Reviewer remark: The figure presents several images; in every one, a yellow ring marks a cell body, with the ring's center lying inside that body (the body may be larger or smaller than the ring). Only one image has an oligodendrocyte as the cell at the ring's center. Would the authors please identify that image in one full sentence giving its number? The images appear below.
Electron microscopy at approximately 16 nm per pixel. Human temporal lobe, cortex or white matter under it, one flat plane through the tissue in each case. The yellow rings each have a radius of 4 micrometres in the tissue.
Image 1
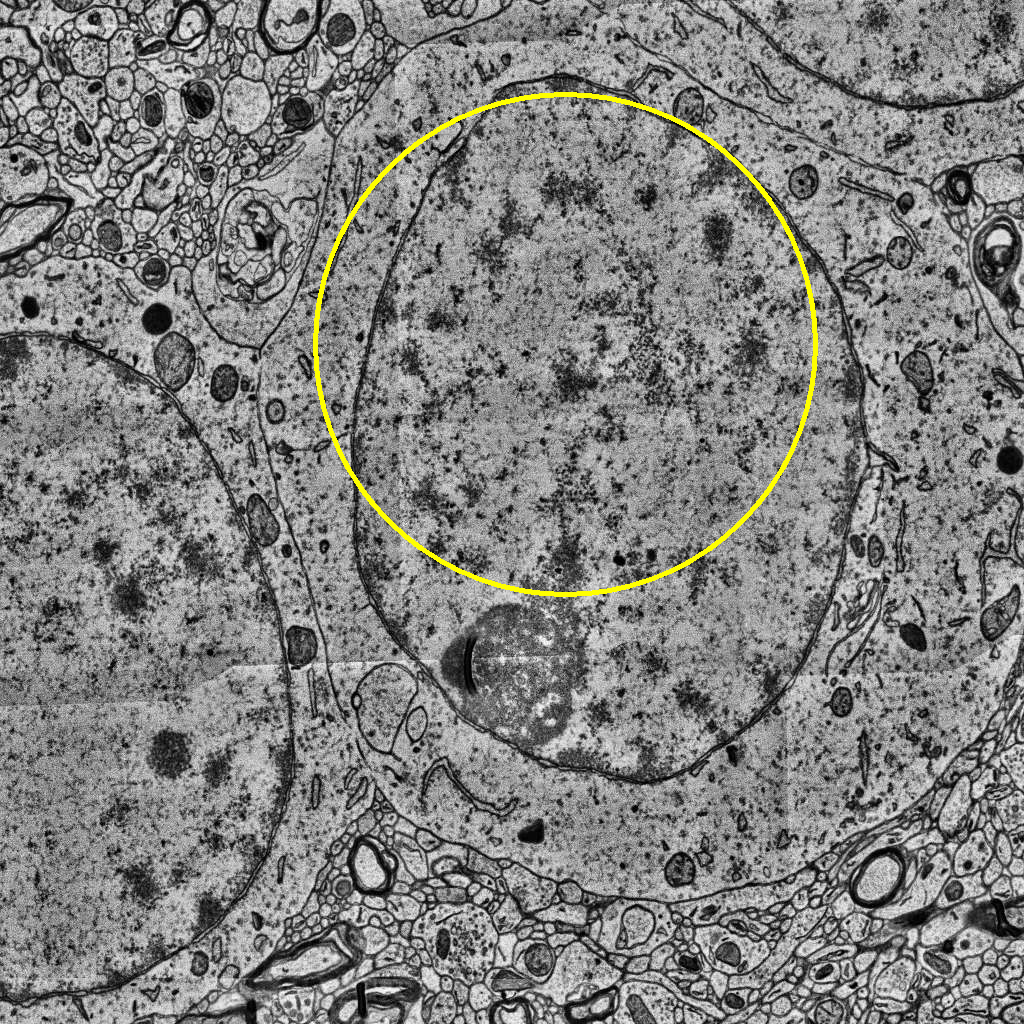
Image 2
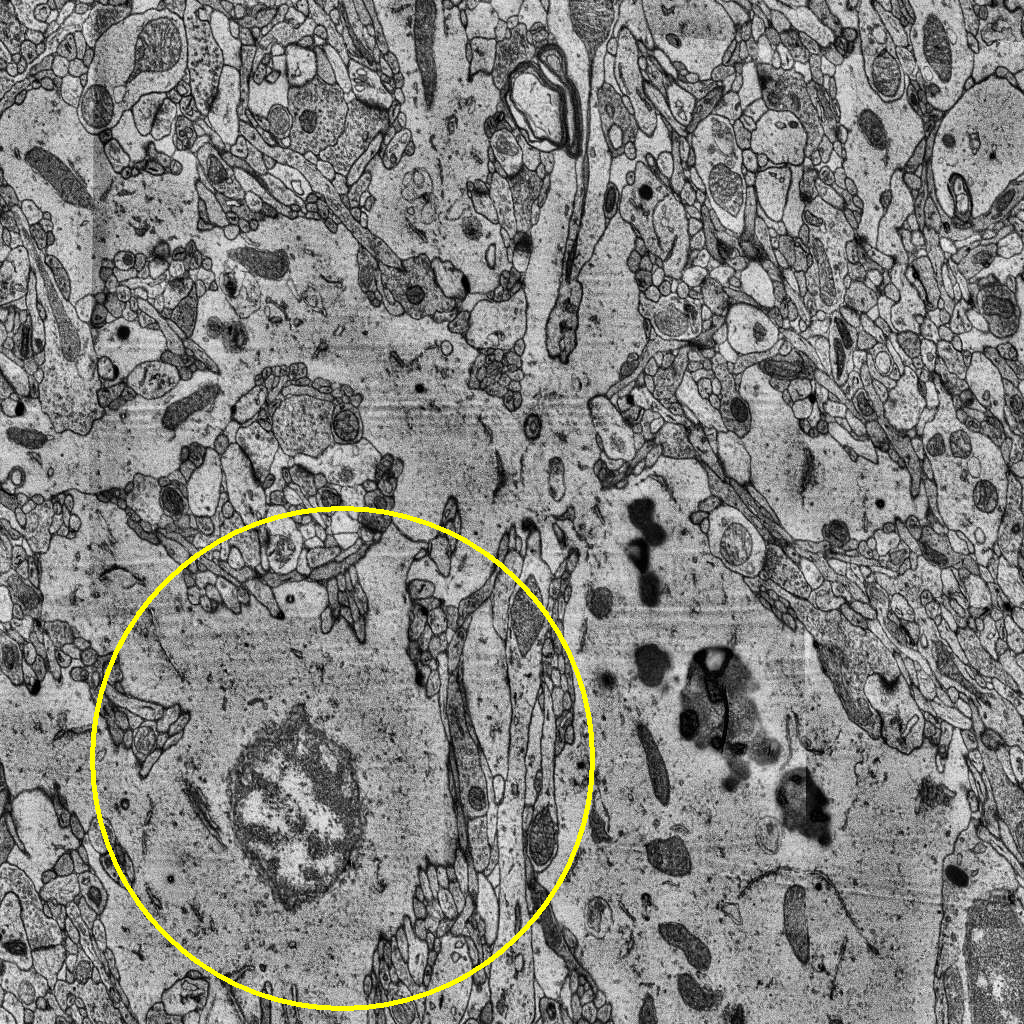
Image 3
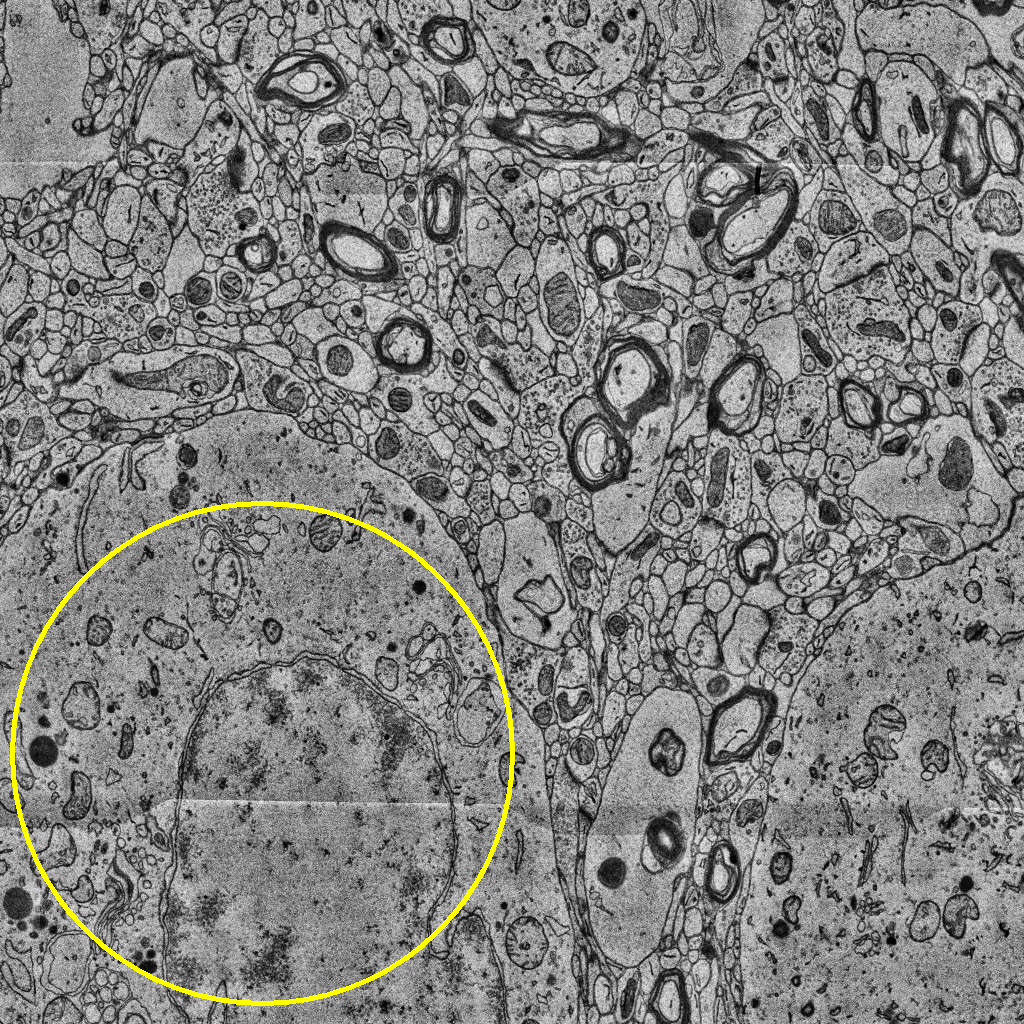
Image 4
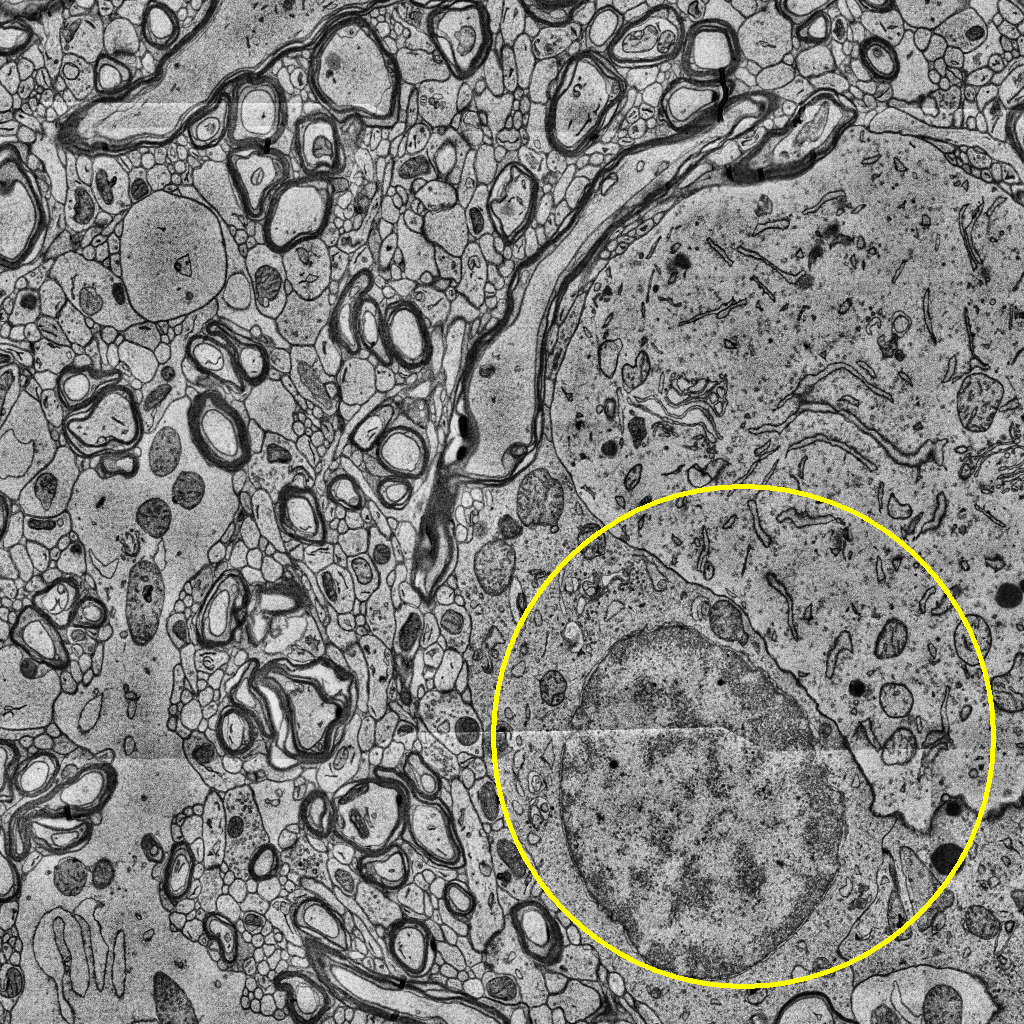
The cell at the ring's center in image 4 is the one the question describes.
